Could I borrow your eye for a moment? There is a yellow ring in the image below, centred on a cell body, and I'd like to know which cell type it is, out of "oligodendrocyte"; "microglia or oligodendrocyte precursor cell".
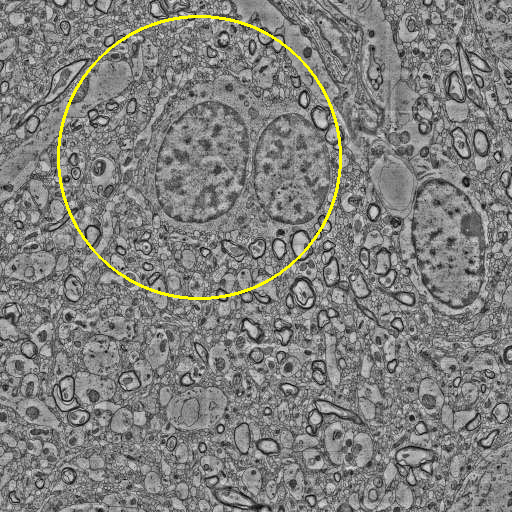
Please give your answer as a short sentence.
The cell body at the centre is that of an oligodendrocyte.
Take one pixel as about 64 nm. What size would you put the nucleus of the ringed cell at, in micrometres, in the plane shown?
Roughly 8 by 6 micrometres in this plane, for the nucleus of the ringed cell.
